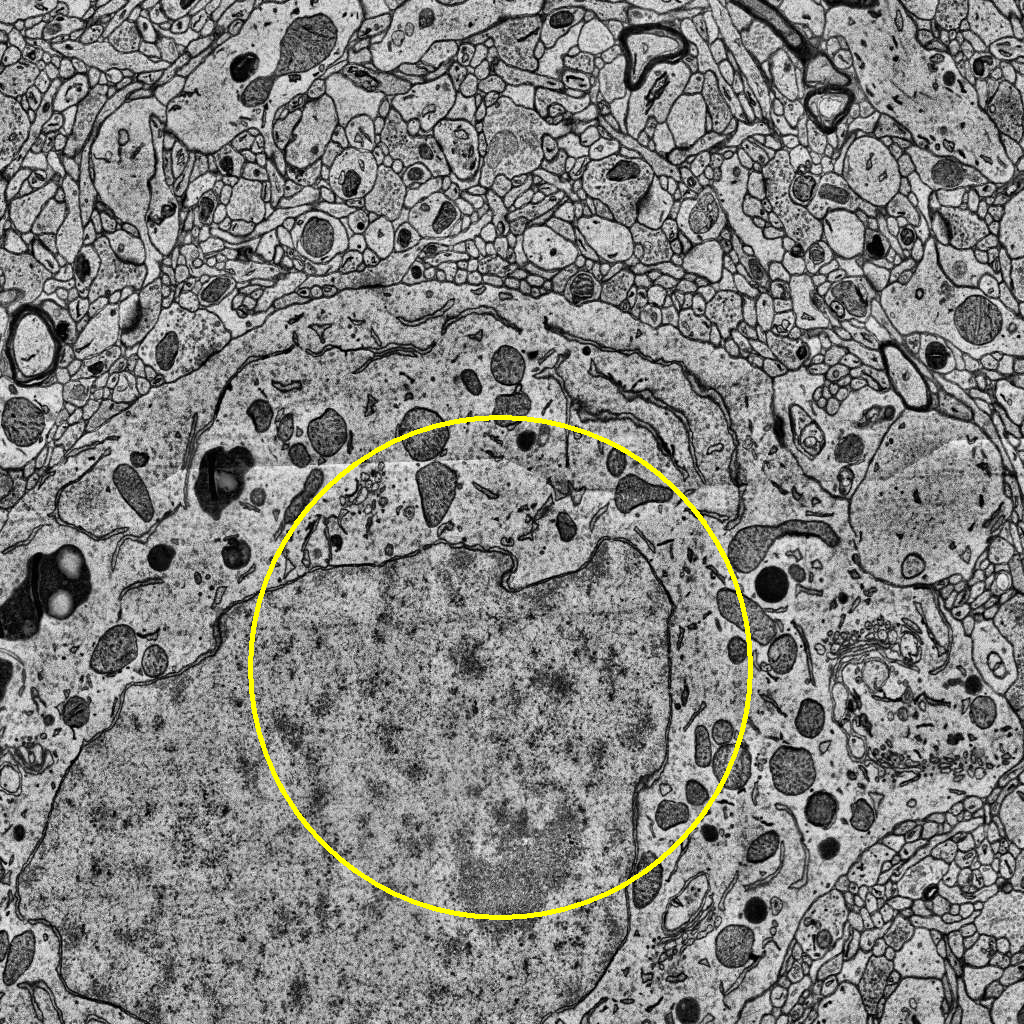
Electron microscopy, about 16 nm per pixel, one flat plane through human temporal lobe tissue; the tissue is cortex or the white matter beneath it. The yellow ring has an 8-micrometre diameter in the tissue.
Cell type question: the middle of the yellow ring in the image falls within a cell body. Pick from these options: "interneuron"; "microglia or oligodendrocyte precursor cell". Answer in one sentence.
The cell body at the center of the ring belongs to an interneuron.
